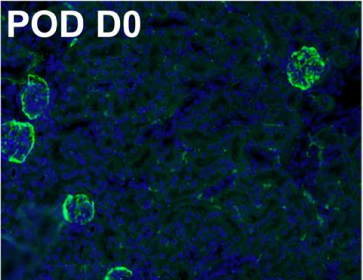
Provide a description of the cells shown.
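This is a section of renal cortex in which several round glomeruli stand out brightly in green against a dimmer background. Each glomerulus is a compact round tuft with blue nuclei inside and green label along its capillary loops. Between the glomeruli the field is filled with closely packed tubule profiles with faint green background and scattered blue nuclei.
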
